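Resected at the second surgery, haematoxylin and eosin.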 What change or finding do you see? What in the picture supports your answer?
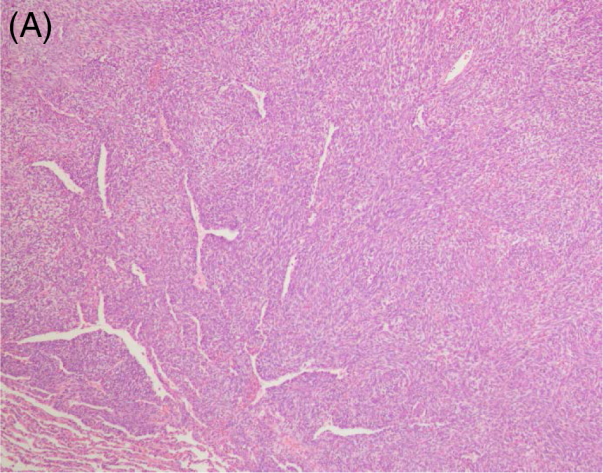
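Dense proliferation of atypical spindle cells. A sheet of densely packed, purple-staining cells fills the field. Thin, branching slit-like vessels run through the cellular sheet. No pools of red blood are seen.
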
